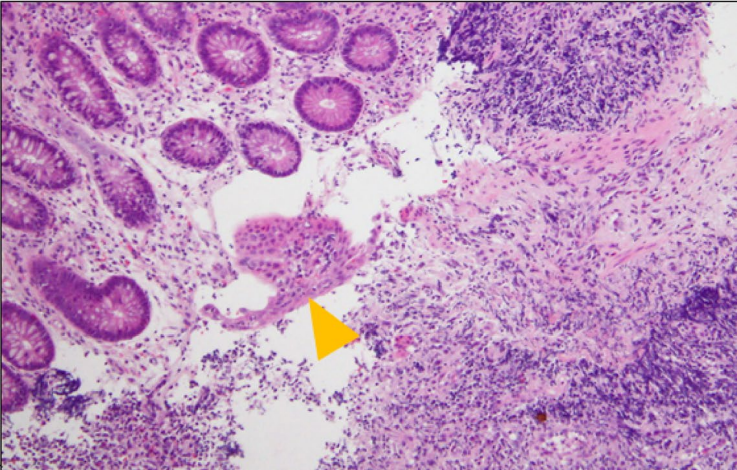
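This is colonic mucosa at higher magnification, with round crypts of columnar epithelium to the left and a dense inflammatory infiltrate to the right. The crypts are cut in cross-section and are lined by tall cells whose dark purple nuclei sit at the base, around a small central lumen. Between the crypts lies loose lamina propria with scattered small round nuclei. To the right and below, the tissue is crowded with small, darkly stained nuclei, packed most densely in the upper right and lower right corners, with pink fibrous strands running between them.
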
